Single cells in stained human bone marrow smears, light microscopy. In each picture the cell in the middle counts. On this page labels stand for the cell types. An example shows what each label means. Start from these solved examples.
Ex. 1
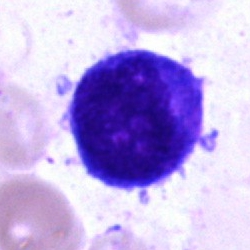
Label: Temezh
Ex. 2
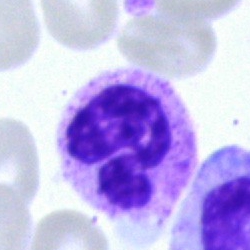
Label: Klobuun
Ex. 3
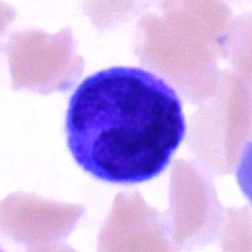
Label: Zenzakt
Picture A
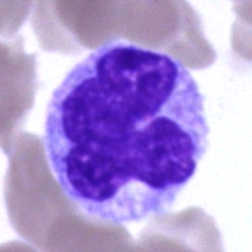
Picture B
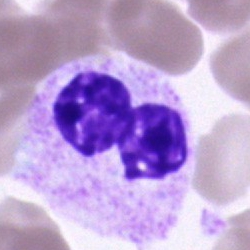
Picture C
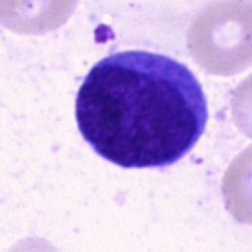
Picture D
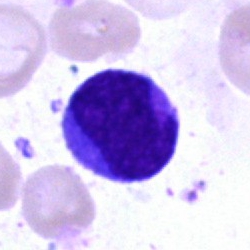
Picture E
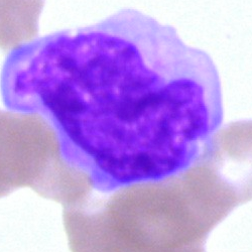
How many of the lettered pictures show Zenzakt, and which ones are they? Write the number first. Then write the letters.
2, namely A, E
